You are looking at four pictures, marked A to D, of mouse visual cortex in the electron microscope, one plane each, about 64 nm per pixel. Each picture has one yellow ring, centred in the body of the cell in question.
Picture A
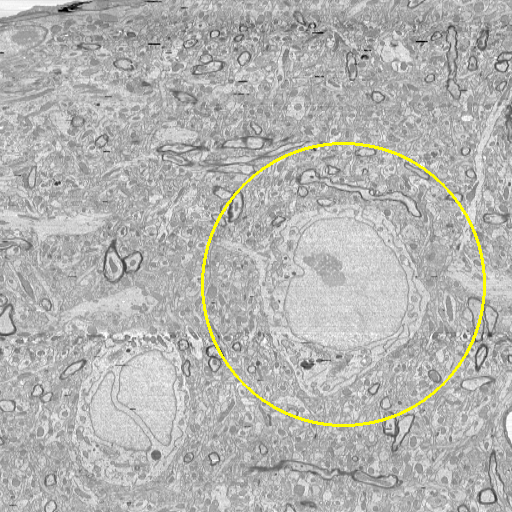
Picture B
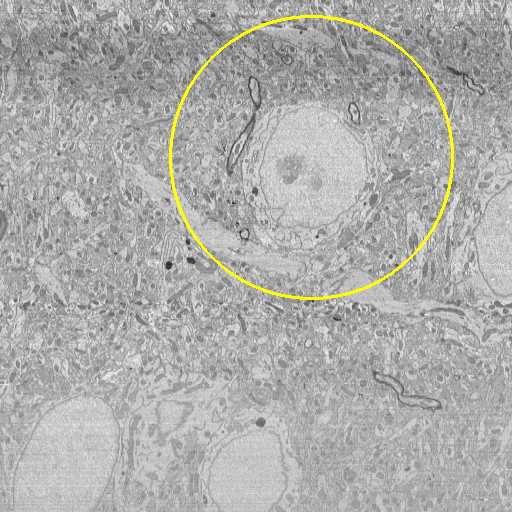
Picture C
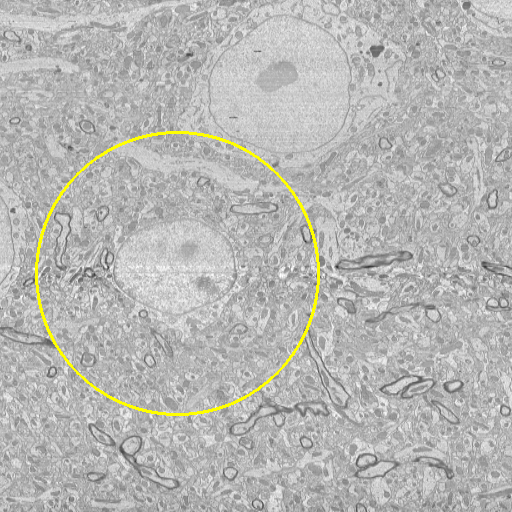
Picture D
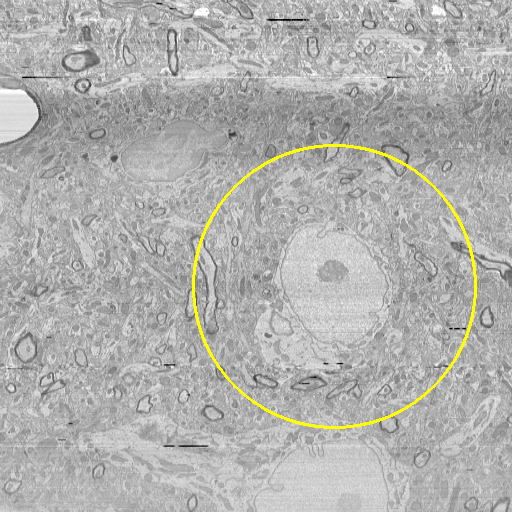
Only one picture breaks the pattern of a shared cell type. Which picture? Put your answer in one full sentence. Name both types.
Picture C is the odd one out: it shows an astrocyte, while the others show inhibitory neurons.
